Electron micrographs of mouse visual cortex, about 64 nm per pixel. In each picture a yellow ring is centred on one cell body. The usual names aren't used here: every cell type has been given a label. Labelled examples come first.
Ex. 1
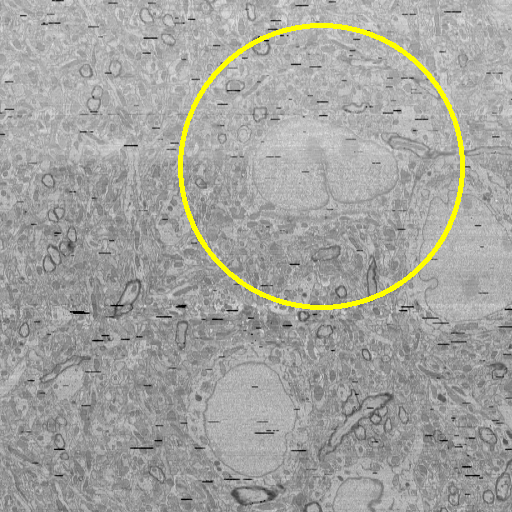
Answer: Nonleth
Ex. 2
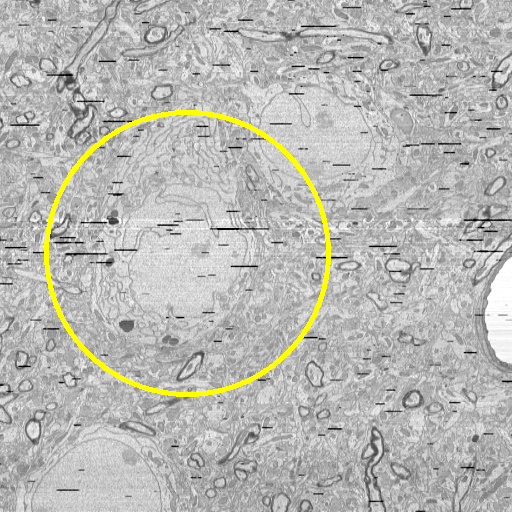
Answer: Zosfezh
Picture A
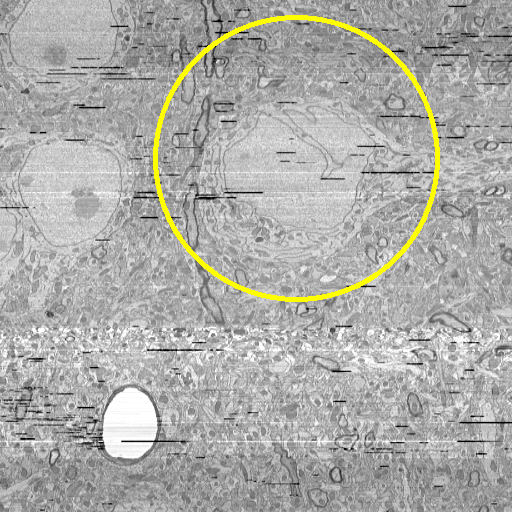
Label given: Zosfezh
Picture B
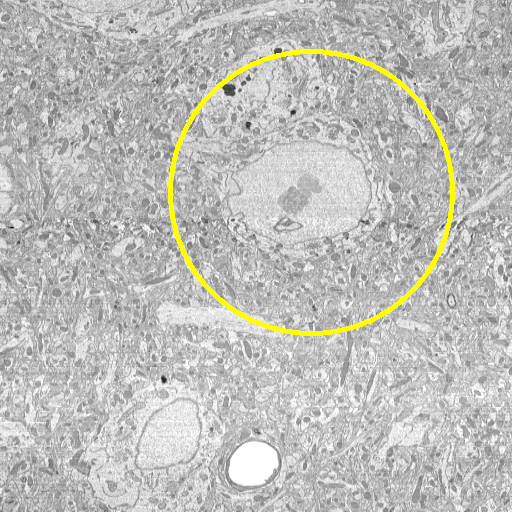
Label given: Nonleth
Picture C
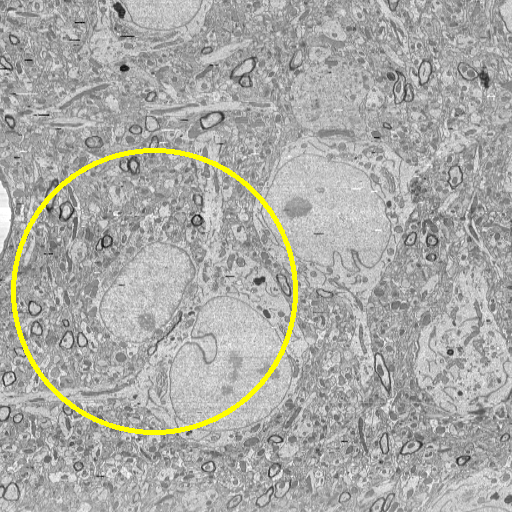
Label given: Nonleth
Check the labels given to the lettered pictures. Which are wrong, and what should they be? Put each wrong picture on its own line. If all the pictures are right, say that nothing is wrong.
B is labelled Nonleth; correct label: Zosfezh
